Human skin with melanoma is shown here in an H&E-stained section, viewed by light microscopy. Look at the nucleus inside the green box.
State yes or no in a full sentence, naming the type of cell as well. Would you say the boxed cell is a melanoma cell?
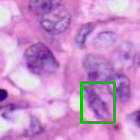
Yes, the boxed cell is accurately described as a melanoma cell.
